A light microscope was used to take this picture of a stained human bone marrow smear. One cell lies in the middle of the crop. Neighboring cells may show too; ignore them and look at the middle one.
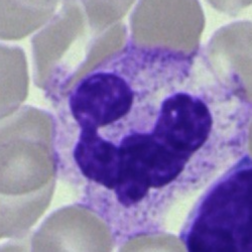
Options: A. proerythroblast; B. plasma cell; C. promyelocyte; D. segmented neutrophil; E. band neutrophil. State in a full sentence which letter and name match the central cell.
Option D is the right one, for the cell in the middle is a segmented neutrophil.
